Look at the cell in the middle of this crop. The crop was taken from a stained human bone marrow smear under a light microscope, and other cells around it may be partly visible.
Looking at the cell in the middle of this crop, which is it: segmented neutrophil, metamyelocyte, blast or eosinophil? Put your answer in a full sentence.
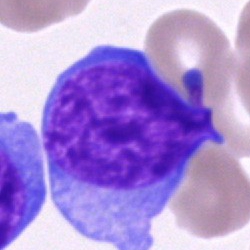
What the crop centres on is a blast.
